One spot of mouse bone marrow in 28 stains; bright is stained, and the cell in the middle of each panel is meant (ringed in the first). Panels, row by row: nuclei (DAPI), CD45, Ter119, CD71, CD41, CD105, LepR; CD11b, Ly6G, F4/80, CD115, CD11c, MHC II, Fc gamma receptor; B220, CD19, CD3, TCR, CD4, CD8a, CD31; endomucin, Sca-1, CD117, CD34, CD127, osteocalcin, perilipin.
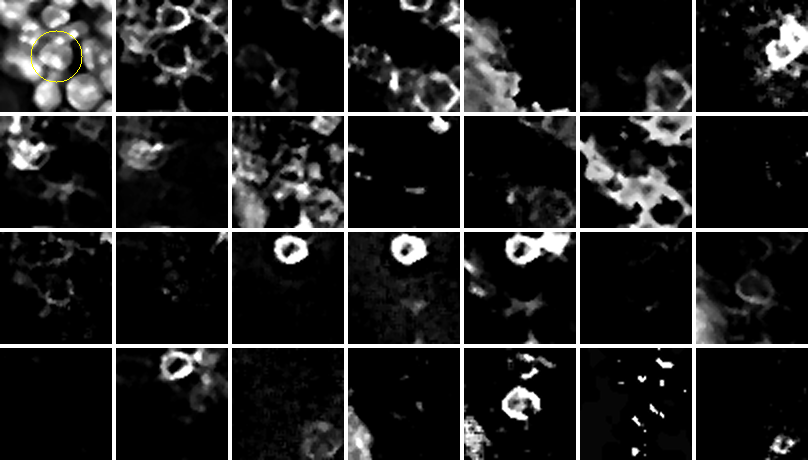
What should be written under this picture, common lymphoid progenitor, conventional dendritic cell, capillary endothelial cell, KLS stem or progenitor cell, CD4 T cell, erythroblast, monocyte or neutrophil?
common lymphoid progenitor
